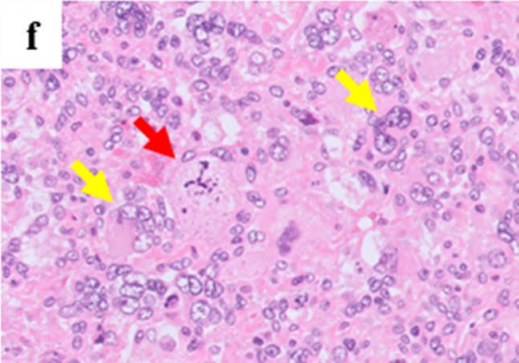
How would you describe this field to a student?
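Tumor with markedly pleomorphic cells, including multinucleated giant cells and an abnormal mitotic figure. The tumor cells have large vesicular nuclei with visible nucleoli and pink cytoplasm. Several giant cells hold clustered multiple nuclei within abundant eosinophilic cytoplasm. One cell shows dark, irregularly condensed chromosomes of an atypical mitosis. The cells lie loosely in a pale pink background with small clear spaces.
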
